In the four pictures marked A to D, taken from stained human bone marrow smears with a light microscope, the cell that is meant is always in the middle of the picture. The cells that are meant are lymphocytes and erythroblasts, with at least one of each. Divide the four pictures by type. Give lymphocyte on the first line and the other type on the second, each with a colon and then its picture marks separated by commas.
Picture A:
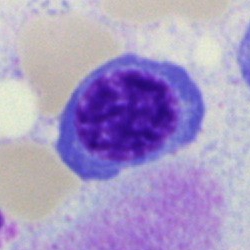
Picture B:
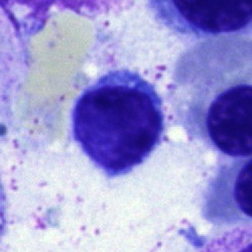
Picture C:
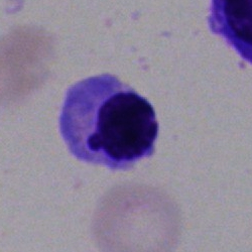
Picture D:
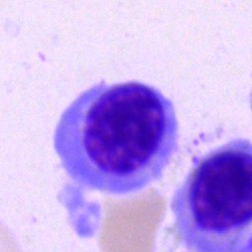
lymphocyte: B
erythroblast: A, C, D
